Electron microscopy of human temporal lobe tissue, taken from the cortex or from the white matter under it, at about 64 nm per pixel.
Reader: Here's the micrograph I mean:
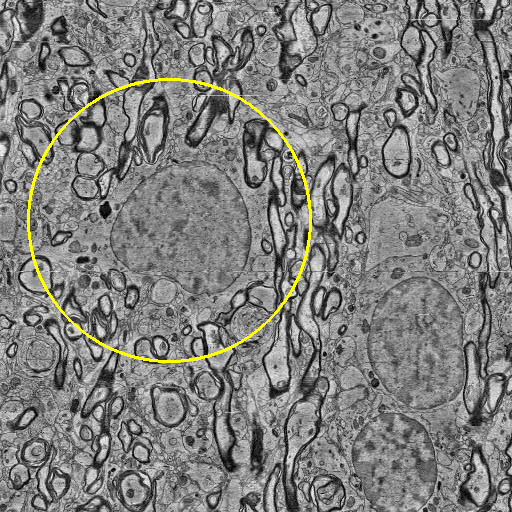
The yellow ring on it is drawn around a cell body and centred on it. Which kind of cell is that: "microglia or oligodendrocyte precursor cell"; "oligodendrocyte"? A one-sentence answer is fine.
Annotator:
The ring is centred on an oligodendrocyte.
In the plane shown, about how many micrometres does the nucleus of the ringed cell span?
The nucleus appears about 9 micrometres across in this plane.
